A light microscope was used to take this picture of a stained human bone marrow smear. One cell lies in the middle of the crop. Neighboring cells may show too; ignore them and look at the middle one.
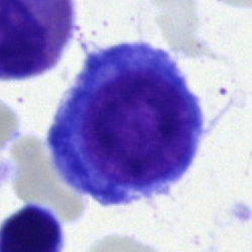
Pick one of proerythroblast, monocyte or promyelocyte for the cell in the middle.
proerythroblast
